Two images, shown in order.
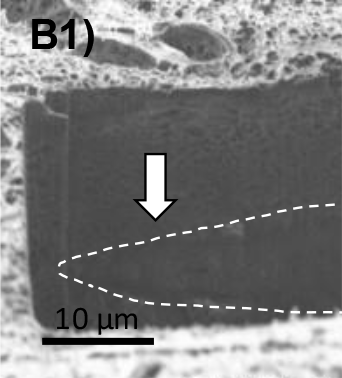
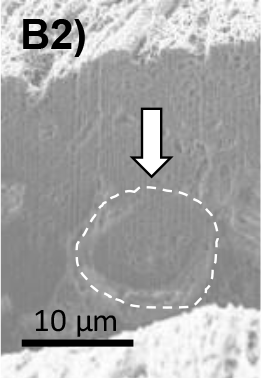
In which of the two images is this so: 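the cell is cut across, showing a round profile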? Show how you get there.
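The second image. Second image: the outlined cell appears as a roughly round profile. First image: the outlined cell appears as an elongated, tapering shape.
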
